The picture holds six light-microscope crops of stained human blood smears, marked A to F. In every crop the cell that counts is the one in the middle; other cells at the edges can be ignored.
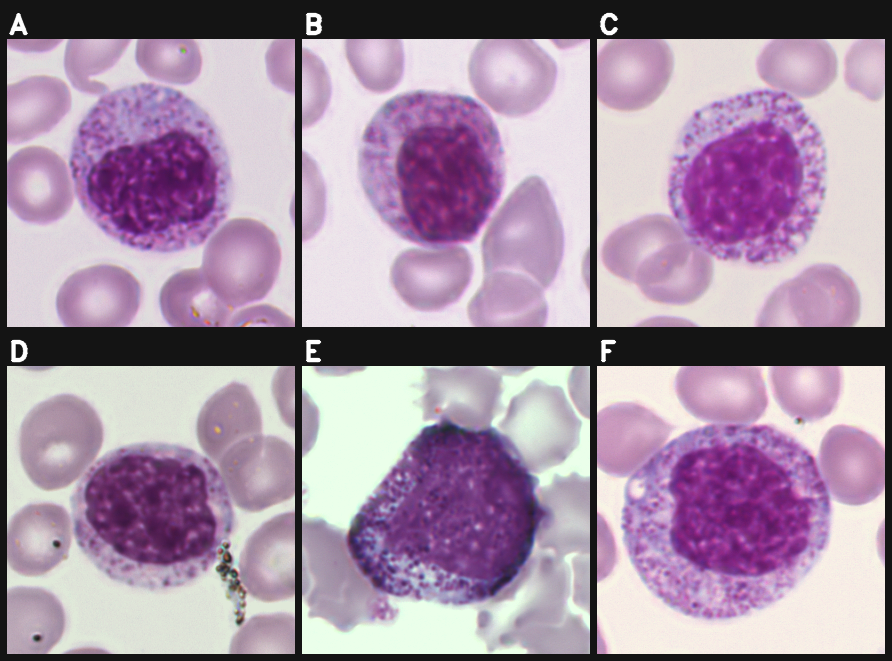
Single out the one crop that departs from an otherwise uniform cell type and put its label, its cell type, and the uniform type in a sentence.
Crop A differs from its companions, showing a metamyelocyte where they show myelocytes.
